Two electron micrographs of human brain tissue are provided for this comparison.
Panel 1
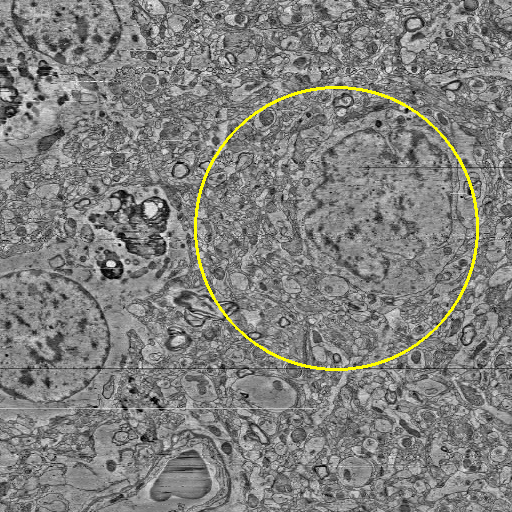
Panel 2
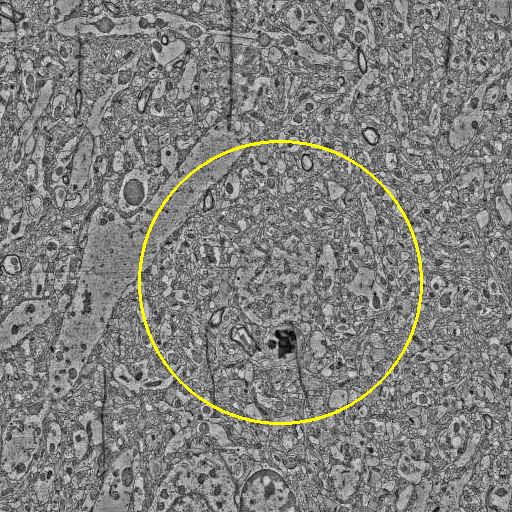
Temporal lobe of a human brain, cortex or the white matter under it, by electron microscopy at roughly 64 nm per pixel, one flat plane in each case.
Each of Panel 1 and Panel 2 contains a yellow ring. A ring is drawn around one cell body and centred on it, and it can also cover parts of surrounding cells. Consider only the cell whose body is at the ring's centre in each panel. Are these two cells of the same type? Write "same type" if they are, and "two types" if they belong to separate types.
same type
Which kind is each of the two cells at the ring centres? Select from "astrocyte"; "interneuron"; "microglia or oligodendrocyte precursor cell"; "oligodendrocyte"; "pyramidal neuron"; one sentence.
In each of the two pictures, the ringed cell is an interneuron.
